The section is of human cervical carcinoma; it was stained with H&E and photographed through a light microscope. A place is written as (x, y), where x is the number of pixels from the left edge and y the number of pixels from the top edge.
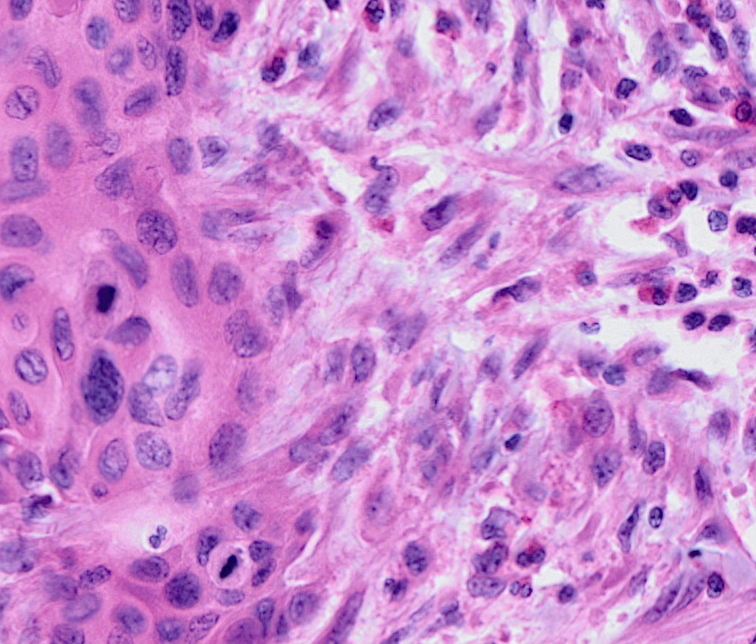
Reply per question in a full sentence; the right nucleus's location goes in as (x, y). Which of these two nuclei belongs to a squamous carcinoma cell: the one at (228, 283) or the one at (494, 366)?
The nucleus at (228, 283) belongs to a squamous carcinoma cell, which distinguishes it from the other nucleus.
